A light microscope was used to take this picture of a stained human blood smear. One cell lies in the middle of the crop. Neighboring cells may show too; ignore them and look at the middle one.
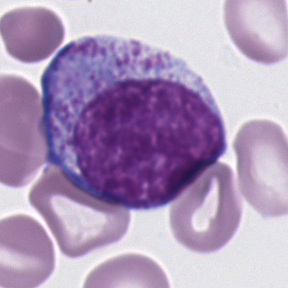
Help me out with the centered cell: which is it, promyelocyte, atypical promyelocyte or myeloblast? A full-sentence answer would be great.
Present in the middle of the crop is a promyelocyte.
